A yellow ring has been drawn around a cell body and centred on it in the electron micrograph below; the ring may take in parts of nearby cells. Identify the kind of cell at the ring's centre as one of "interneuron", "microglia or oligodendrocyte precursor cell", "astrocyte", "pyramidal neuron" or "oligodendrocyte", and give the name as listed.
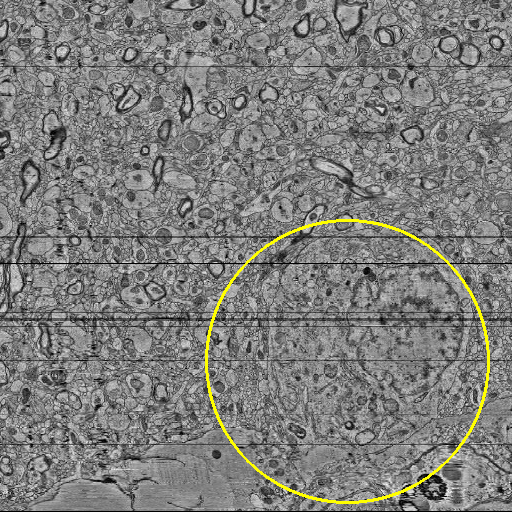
interneuron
